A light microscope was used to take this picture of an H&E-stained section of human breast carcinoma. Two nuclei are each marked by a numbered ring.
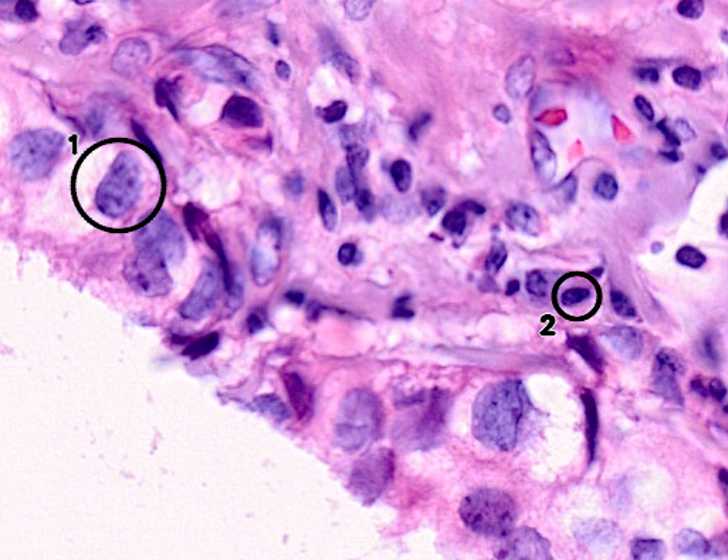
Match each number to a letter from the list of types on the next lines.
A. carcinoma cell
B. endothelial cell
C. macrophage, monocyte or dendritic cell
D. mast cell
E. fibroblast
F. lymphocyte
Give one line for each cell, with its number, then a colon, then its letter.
1: A
2: F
